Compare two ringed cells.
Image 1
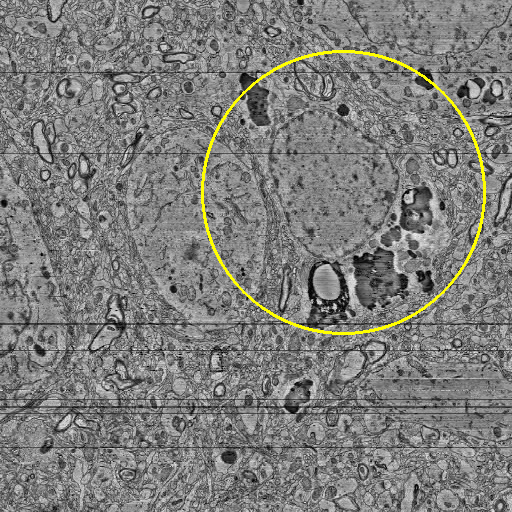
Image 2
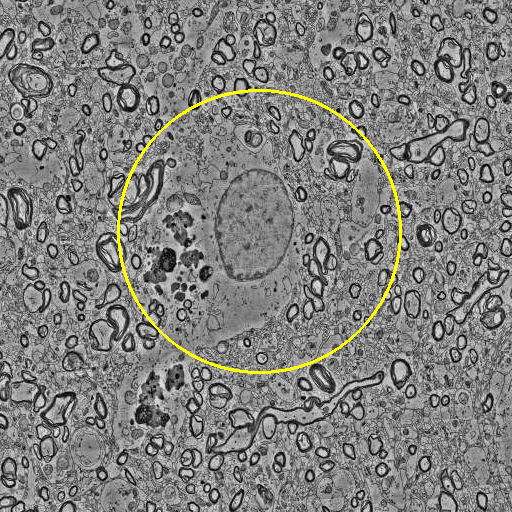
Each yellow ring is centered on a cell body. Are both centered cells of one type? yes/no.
yes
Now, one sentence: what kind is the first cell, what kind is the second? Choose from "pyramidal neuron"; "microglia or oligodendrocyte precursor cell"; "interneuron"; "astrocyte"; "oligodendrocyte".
Each of the two rings surrounds an astrocyte.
